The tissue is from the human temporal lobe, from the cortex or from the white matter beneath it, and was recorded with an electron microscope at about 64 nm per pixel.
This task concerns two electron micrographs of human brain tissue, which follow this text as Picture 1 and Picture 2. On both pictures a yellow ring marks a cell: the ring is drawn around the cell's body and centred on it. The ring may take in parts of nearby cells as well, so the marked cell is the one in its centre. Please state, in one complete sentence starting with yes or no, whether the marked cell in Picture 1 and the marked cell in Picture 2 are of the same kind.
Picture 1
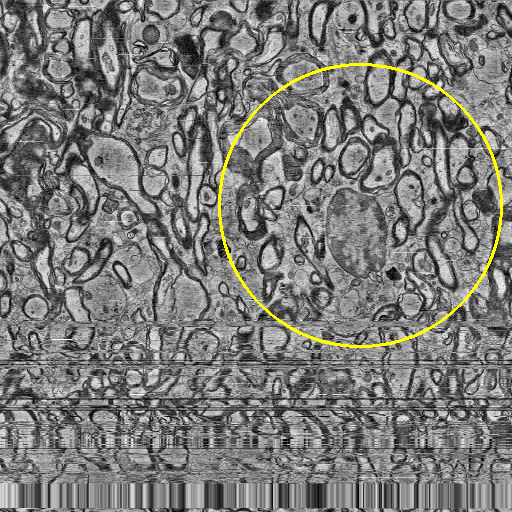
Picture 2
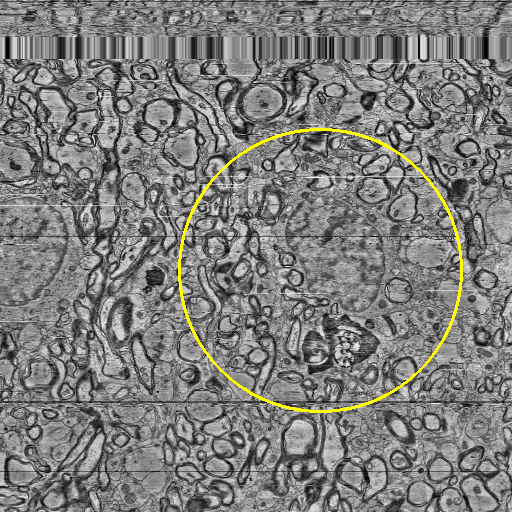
No, the marked cells in the two pictures are of two kinds.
